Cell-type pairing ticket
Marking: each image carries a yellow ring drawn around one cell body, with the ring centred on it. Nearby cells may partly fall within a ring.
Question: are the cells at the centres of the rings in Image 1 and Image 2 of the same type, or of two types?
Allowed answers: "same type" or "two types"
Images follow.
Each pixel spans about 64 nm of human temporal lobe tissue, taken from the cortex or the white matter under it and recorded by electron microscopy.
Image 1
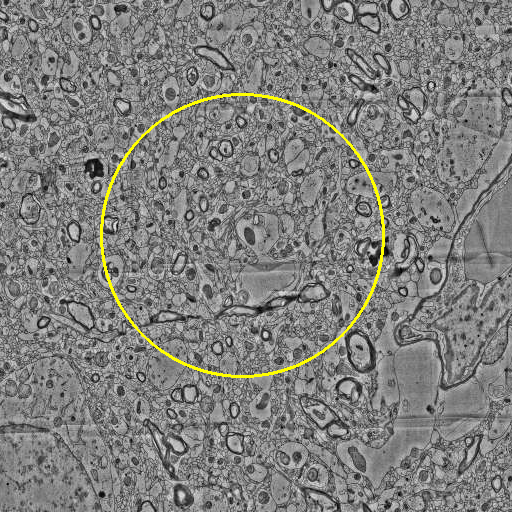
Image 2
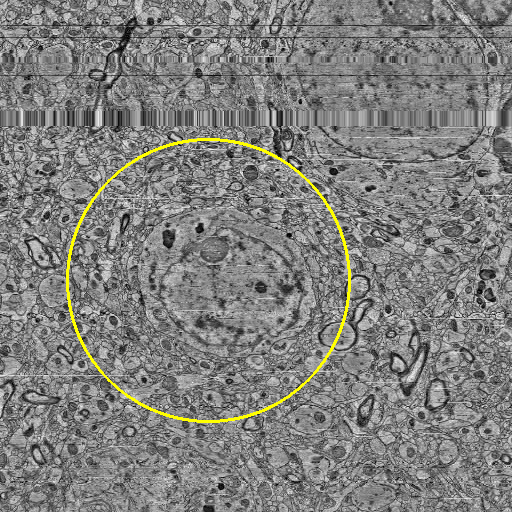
two types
